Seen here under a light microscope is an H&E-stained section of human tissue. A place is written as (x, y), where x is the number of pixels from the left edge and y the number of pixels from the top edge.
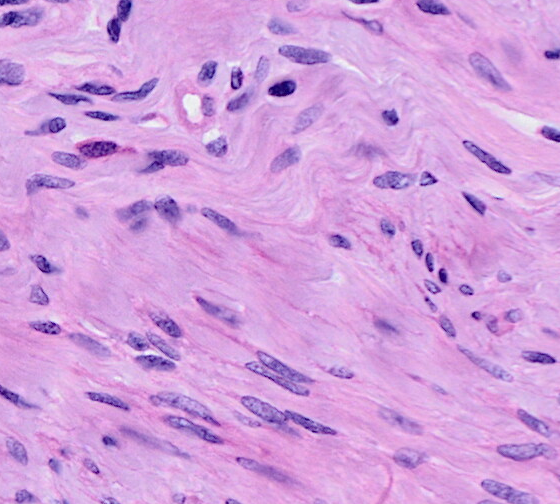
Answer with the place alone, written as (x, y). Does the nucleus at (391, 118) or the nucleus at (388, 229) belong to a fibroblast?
(391, 118)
